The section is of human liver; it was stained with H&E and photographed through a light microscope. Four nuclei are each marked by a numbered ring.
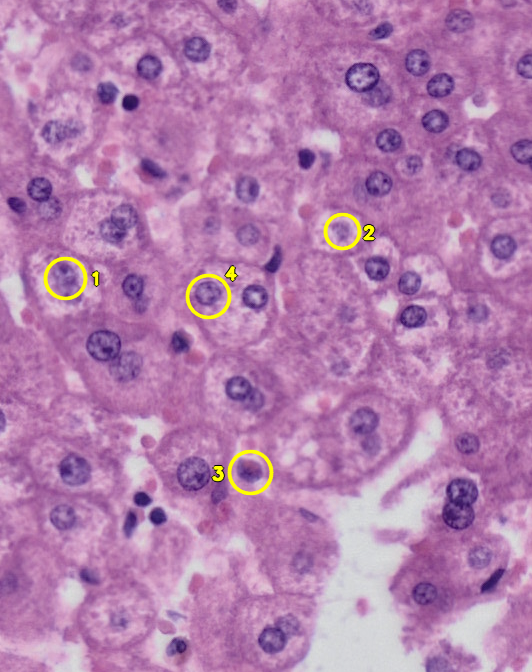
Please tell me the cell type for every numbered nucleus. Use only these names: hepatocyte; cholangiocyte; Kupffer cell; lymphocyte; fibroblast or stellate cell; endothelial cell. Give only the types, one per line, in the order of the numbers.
hepatocyte
hepatocyte
endothelial cell
hepatocyte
